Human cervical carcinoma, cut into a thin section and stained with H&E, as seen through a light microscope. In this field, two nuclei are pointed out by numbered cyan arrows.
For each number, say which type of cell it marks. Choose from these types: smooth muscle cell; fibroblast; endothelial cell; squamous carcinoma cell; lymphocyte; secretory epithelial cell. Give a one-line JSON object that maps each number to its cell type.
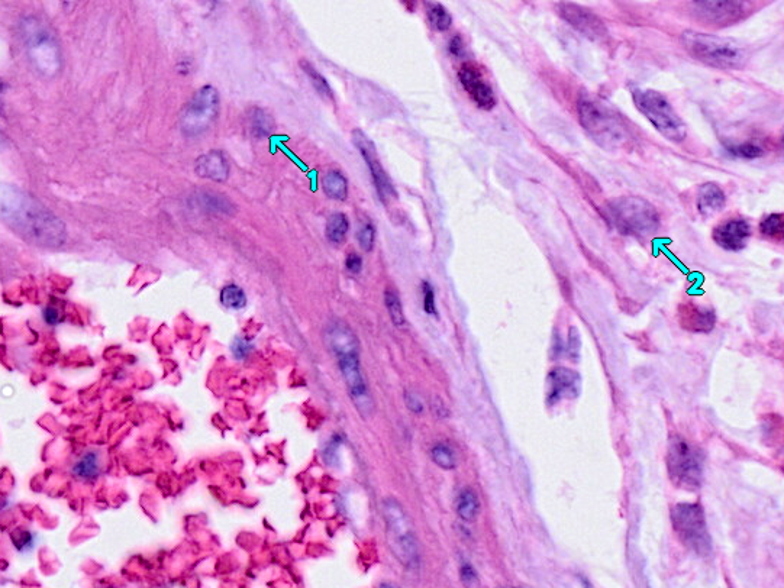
{"1": "smooth muscle cell", "2": "fibroblast"}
